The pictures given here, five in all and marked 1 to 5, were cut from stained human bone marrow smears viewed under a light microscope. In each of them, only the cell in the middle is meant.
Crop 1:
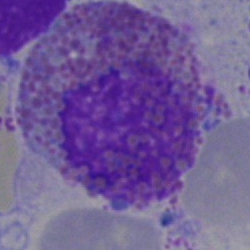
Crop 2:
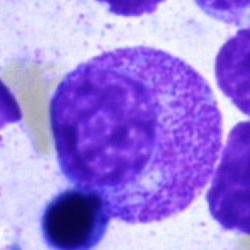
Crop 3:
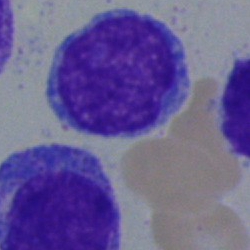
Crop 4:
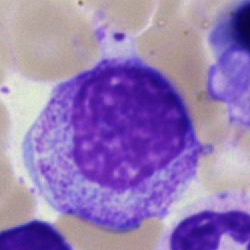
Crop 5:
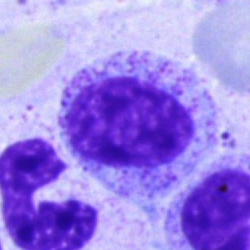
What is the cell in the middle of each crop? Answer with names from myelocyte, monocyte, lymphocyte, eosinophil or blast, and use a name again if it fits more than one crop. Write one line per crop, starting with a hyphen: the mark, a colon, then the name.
- 1: eosinophil
- 2: myelocyte
- 3: blast
- 4: myelocyte
- 5: myelocyte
